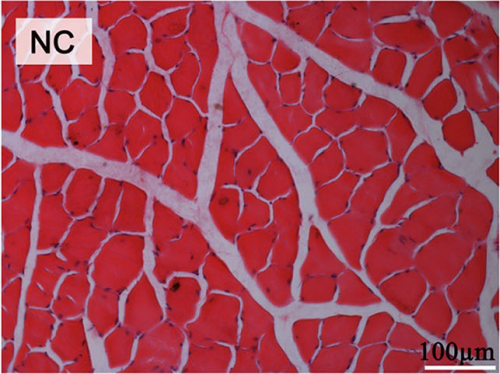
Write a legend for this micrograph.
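This is a cross-section of skeletal muscle, with the muscle fibers cut transversely as closely packed polygonal profiles. Their cytoplasm is evenly stained red-pink, and small dark nuclei lie at the edges of the fibers rather than in their centres. Thin pale lines separate neighbouring fibers, while wider pale bands divide the fibers into groups.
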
